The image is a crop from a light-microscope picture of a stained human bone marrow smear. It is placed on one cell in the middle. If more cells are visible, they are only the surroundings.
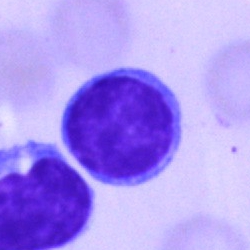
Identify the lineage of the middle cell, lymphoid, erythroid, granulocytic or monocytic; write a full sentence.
The cell at the center of the crop has lymphoid lineage.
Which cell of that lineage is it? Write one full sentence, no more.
For this crop, the cell in the middle is a lymphocyte.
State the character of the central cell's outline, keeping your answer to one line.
The border of this cell runs smooth and free of any projections.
